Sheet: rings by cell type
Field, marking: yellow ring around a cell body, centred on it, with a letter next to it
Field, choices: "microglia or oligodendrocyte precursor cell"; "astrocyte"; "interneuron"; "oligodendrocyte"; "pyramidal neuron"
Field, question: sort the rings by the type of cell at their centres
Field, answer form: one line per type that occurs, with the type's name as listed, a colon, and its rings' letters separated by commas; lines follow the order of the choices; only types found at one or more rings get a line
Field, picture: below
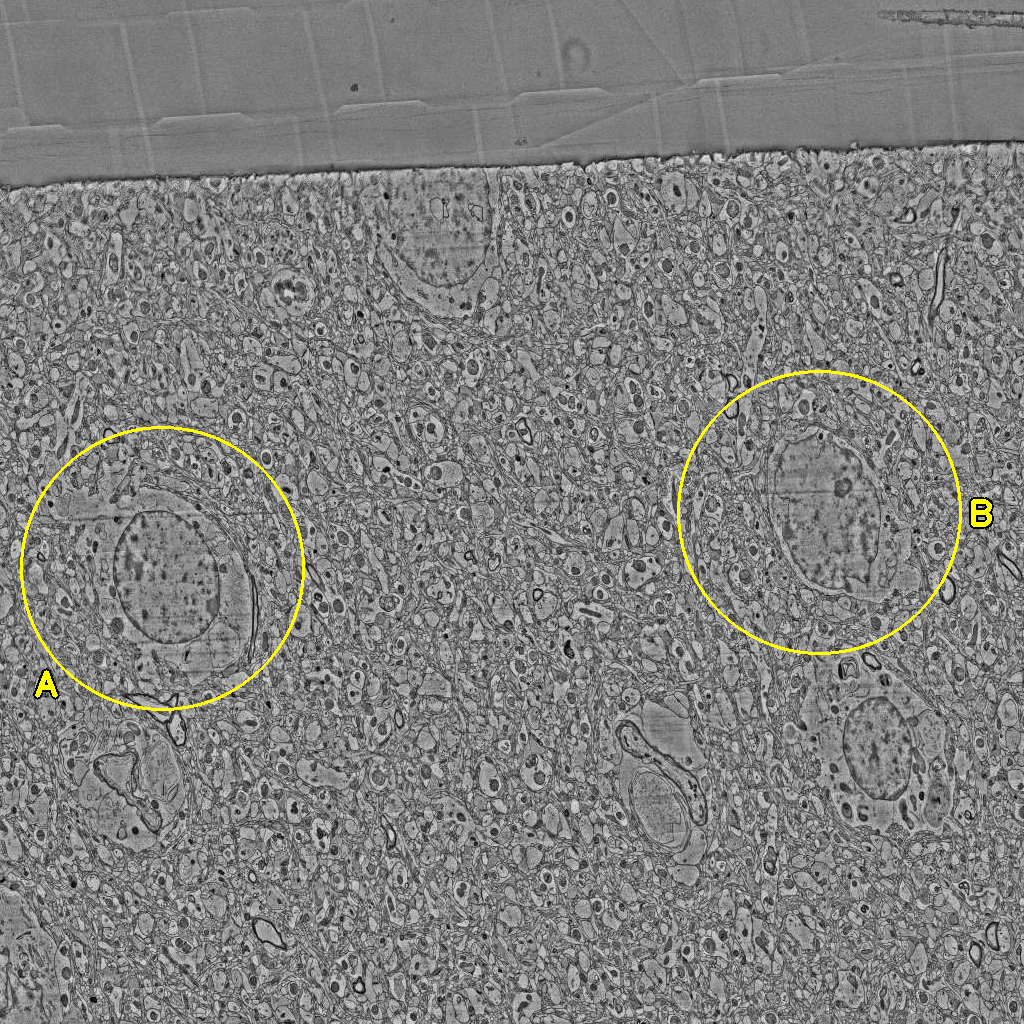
astrocyte: A
interneuron: B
